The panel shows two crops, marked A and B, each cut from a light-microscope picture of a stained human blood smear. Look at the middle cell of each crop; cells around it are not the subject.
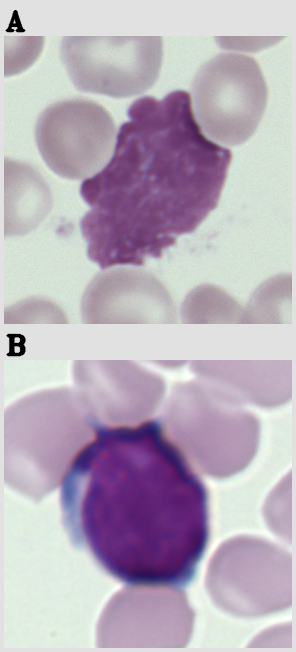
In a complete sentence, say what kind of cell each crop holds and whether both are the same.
No, a smudge cell is in crop A, while a typical lymphocyte is in crop B.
